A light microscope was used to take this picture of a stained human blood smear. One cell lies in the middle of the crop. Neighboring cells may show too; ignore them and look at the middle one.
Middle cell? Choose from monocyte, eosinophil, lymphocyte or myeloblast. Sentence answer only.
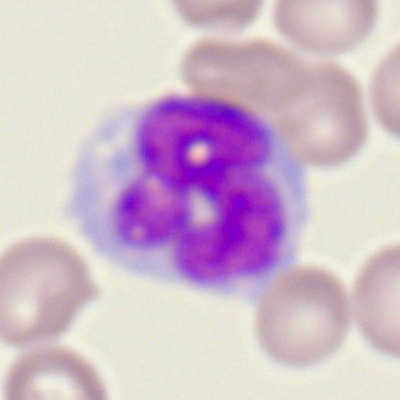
The cell centred in this crop is categorized as a monocyte.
